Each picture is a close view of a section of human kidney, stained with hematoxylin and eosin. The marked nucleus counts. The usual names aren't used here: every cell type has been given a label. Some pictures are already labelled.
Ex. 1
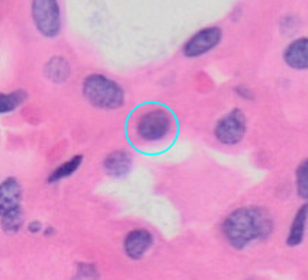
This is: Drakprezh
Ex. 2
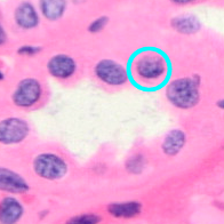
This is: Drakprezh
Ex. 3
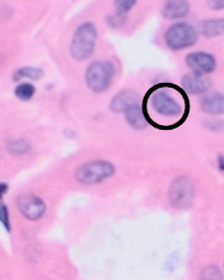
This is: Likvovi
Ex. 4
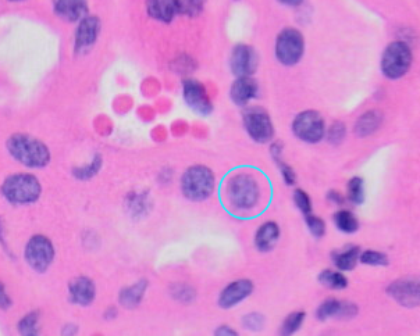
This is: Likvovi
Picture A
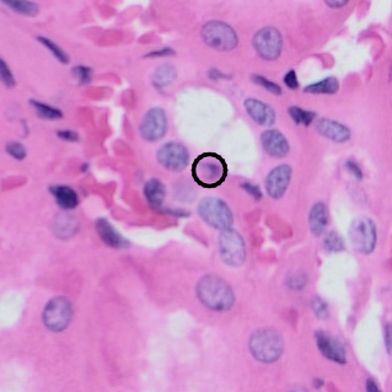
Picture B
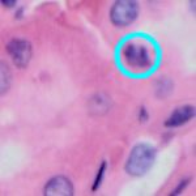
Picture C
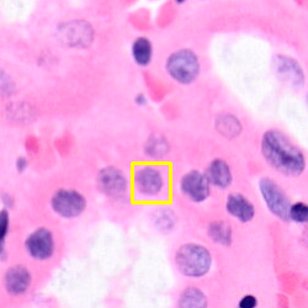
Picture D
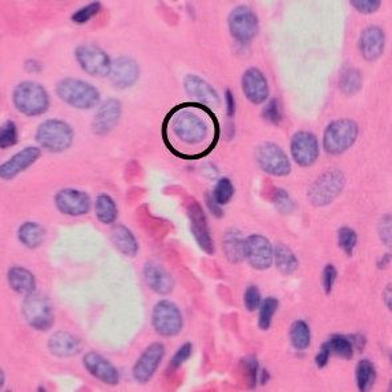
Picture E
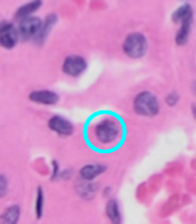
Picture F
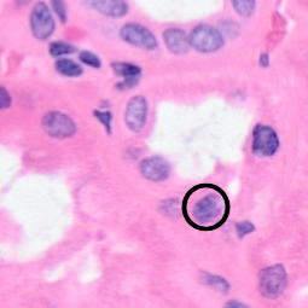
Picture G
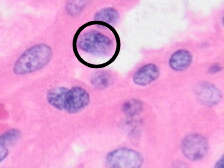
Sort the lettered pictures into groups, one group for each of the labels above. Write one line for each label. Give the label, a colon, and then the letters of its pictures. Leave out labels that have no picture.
Drakprezh: C, E, F, G
Likvovi: A, B, D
